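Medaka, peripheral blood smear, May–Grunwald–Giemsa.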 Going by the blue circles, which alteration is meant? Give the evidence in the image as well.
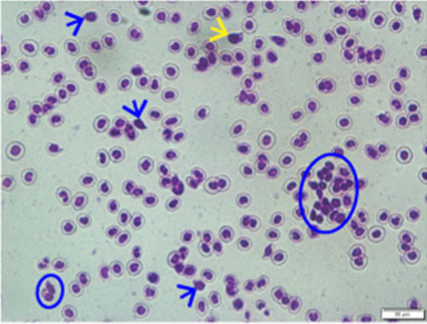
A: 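Aggregated thrombocytes. The larger circle encloses a tight cluster of many small, dark-staining cells. The clustered cells are smaller and more densely stained than the surrounding oval cells with pale rims.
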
